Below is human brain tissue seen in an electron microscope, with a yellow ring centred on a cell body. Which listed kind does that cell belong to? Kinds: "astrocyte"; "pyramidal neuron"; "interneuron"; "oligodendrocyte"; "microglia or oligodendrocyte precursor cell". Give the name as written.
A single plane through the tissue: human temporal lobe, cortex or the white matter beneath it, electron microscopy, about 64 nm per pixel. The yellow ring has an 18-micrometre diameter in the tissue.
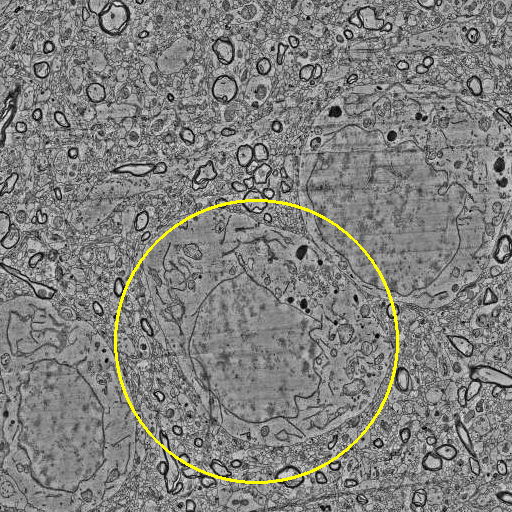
pyramidal neuron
